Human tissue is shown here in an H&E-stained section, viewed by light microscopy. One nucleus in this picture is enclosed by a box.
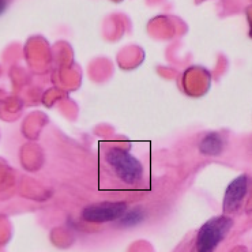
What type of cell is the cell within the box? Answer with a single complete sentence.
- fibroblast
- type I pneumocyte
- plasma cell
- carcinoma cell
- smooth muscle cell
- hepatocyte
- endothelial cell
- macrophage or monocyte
With respect to cell type, the cell within the box is a type I pneumocyte.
